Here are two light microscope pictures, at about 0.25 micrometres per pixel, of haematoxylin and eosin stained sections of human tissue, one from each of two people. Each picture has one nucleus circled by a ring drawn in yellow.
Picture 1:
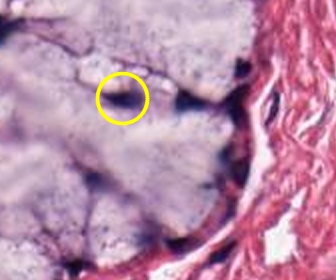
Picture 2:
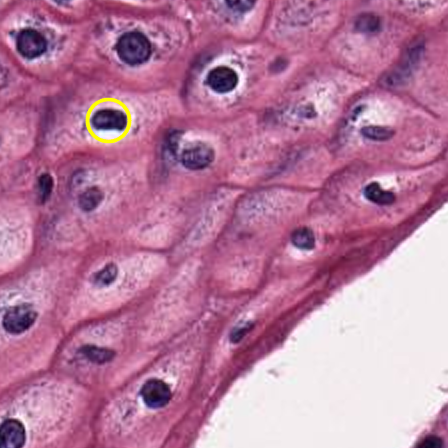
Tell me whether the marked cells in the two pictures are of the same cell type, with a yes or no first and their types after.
No, the first is a mucous gland cell and the second a squamous epithelial cell.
